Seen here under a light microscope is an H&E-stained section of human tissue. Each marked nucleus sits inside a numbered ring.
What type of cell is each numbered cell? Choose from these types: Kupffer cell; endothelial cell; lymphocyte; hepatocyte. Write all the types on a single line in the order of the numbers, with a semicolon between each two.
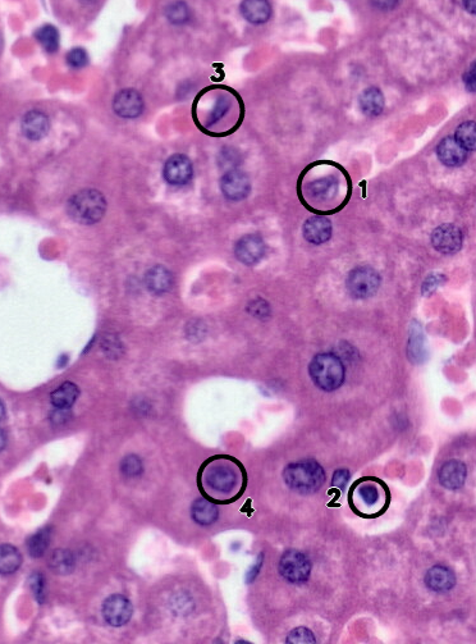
Kupffer cell; lymphocyte; endothelial cell; hepatocyte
